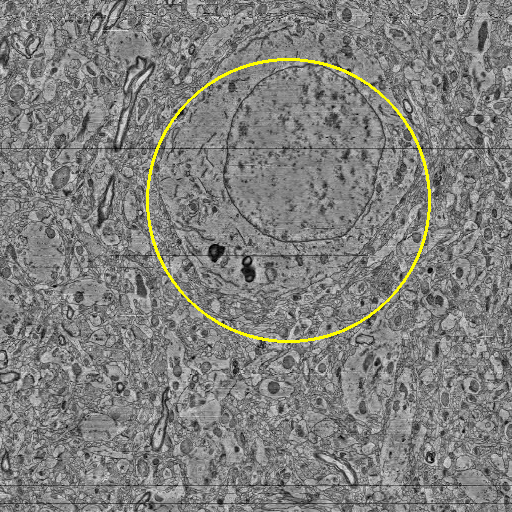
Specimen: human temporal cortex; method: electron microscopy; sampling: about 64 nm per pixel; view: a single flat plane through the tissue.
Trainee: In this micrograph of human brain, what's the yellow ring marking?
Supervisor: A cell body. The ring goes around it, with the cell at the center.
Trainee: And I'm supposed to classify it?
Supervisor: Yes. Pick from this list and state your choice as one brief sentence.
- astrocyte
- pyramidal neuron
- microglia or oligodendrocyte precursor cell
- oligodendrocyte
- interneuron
The cell at the ring's center is a pyramidal neuron.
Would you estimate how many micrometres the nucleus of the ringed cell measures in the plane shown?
In this plane the nucleus measures roughly 11 micrometres across.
